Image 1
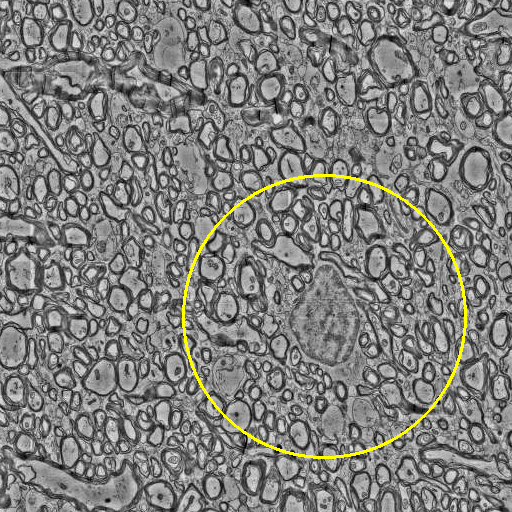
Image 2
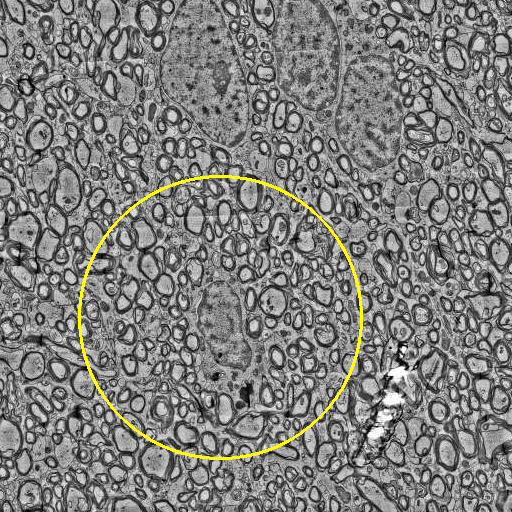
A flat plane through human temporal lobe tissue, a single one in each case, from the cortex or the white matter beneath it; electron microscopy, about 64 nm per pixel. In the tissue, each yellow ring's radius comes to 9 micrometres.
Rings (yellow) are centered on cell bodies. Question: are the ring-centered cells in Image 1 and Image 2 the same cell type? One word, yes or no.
yes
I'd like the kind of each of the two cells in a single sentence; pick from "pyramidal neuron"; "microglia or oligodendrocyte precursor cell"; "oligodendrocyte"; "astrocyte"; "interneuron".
Each of the ringed cells, first and second, is an oligodendrocyte.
